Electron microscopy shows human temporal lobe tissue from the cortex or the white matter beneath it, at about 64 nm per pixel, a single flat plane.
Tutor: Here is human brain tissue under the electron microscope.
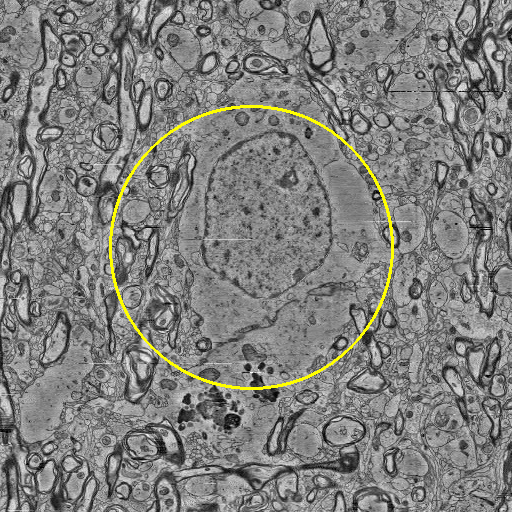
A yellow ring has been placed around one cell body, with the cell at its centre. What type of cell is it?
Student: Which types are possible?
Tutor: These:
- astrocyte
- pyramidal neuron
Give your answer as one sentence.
What the ring picks out here is an astrocyte.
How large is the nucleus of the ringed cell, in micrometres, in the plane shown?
The ringed cell's nucleus measures approximately 11 by 8 micrometres in this plane.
